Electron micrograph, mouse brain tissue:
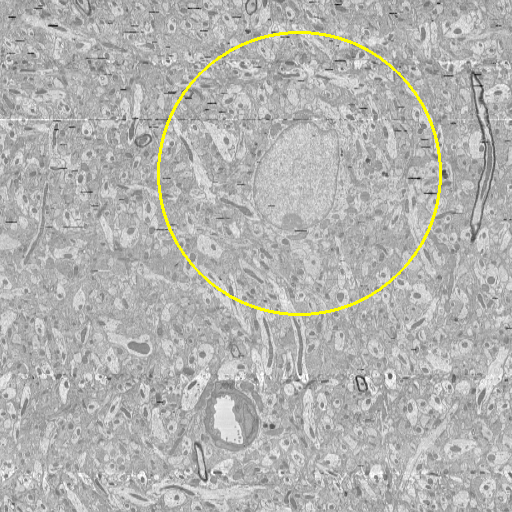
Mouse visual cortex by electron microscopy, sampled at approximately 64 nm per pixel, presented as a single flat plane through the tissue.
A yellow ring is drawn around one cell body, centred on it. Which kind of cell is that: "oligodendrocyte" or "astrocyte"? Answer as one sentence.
It is an astrocyte at the centre of the ring.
